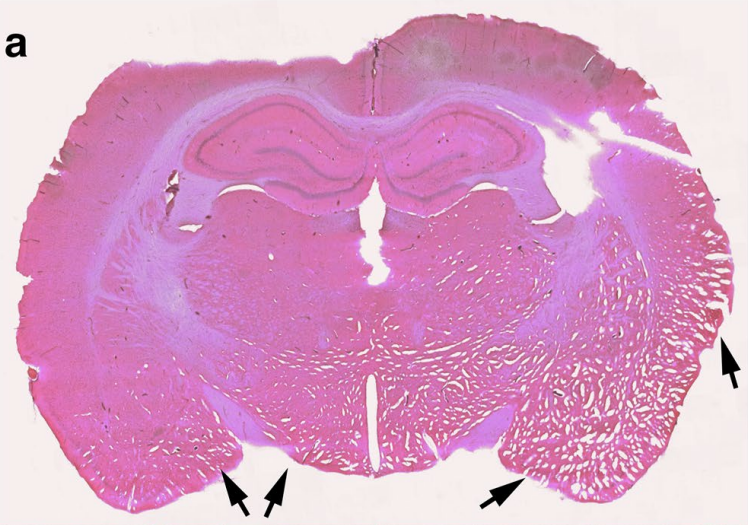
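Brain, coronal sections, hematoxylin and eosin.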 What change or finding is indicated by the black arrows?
Enlarged paravascular spaces.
